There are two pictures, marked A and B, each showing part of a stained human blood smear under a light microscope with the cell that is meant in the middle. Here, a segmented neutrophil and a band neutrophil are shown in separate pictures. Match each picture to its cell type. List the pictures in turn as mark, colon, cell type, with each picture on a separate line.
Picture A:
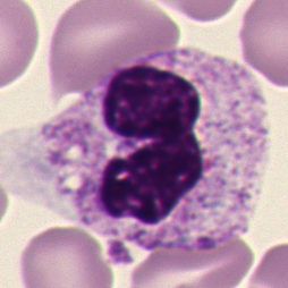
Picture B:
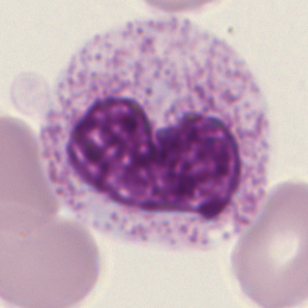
A: segmented neutrophil
B: band neutrophil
